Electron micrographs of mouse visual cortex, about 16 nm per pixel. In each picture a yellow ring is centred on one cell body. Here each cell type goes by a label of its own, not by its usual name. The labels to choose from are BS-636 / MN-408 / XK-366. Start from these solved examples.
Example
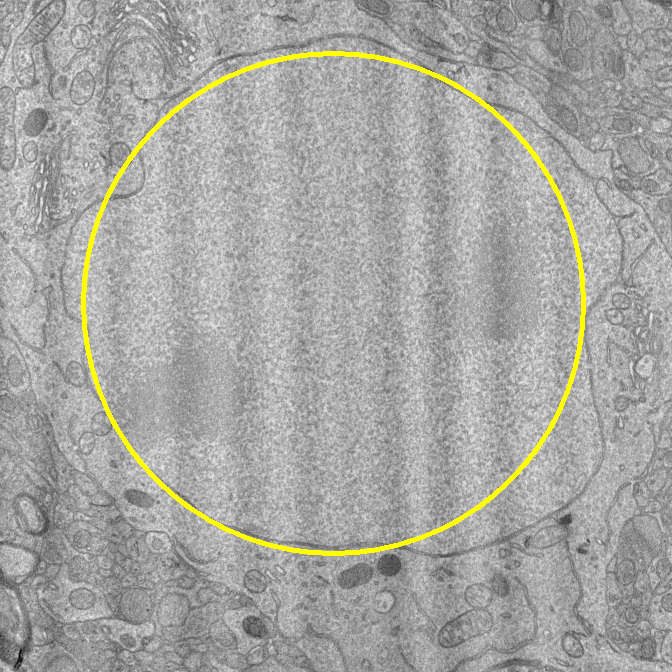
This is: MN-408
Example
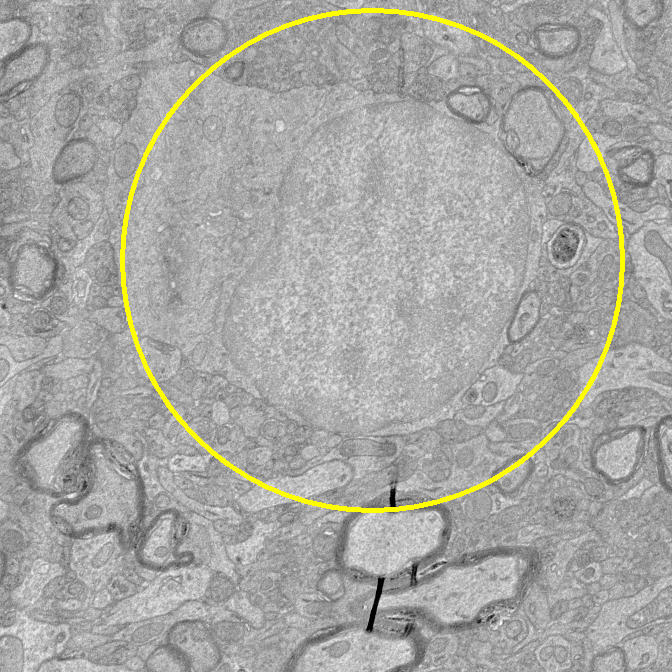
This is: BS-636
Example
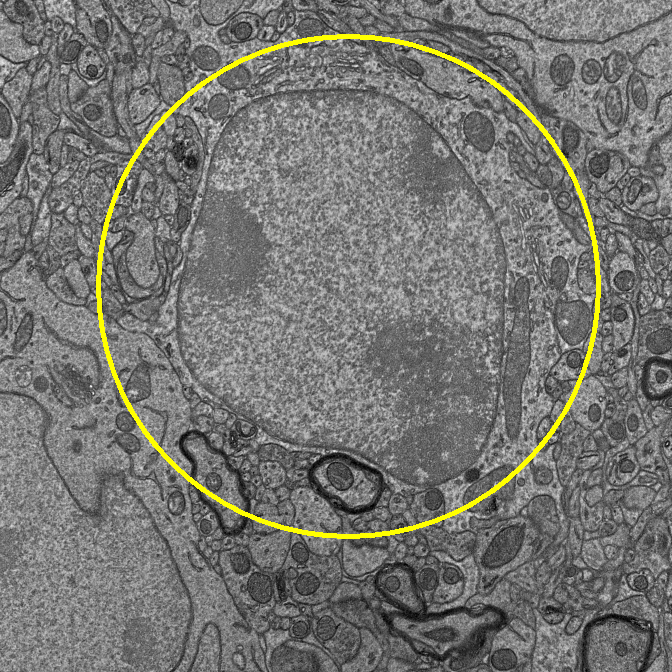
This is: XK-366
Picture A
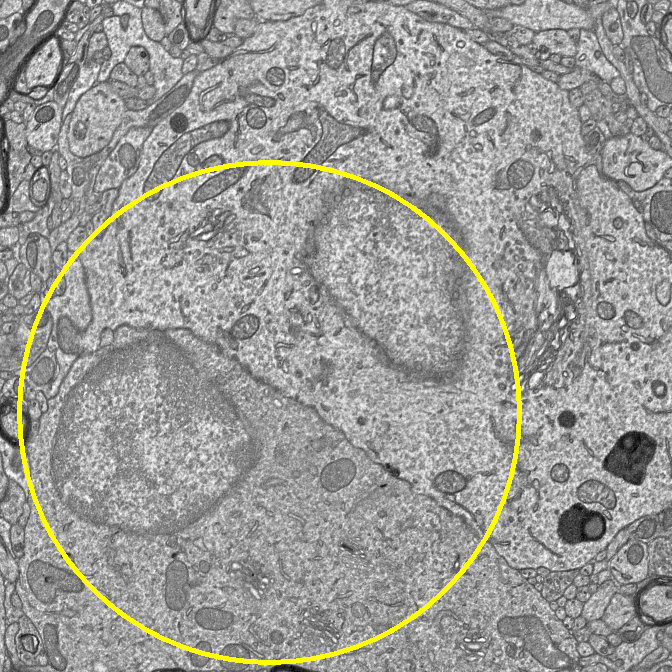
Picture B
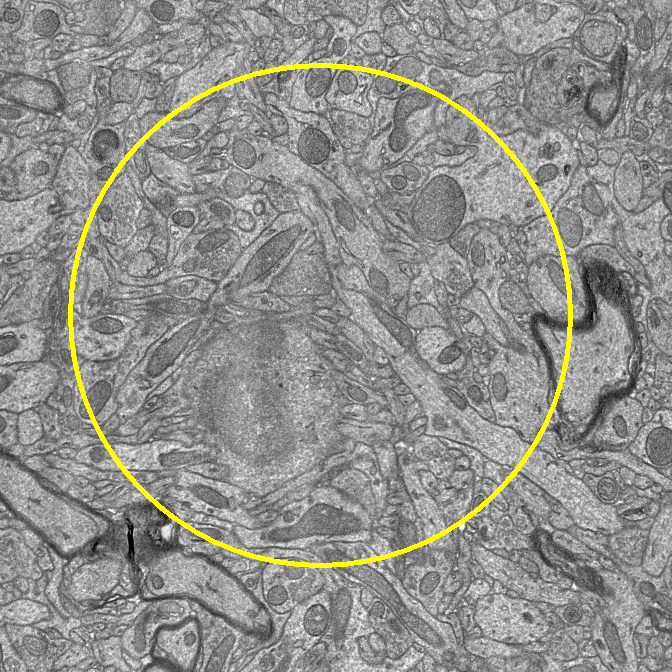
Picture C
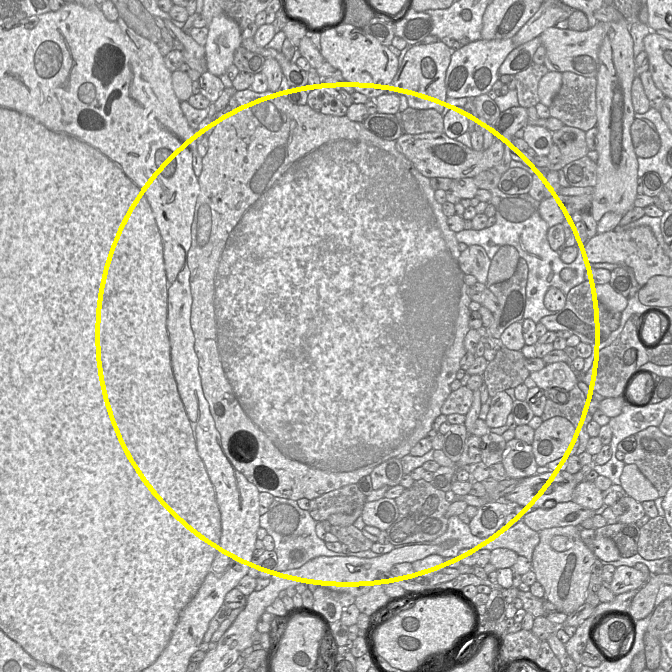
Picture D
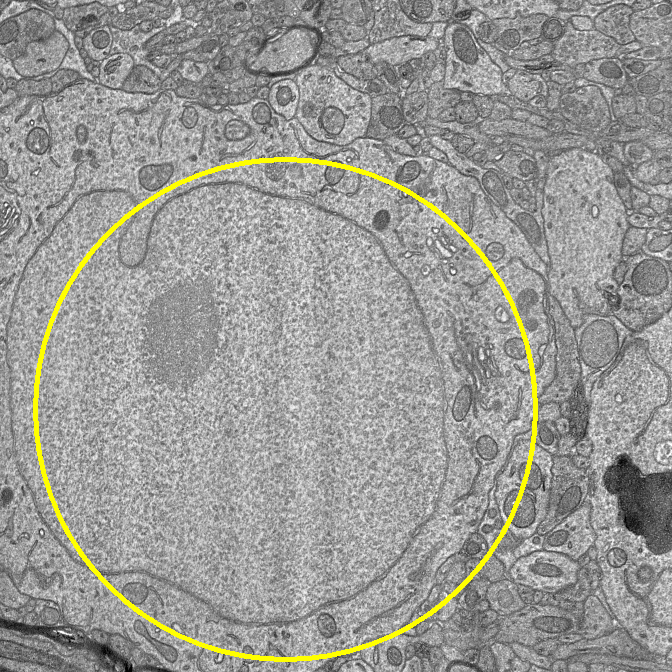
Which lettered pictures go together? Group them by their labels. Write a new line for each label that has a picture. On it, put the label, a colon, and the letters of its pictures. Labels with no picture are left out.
BS-636: A, B, C
MN-408: D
